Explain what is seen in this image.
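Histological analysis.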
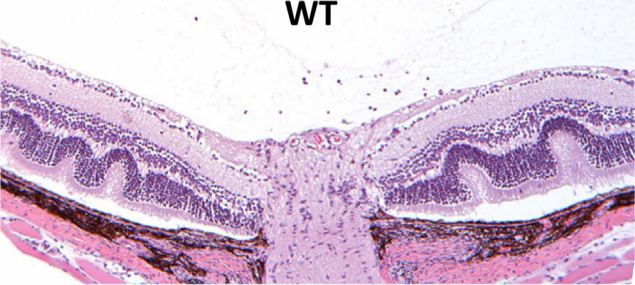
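This is a section of retina cut through the optic nerve head, with the nerve running down through the middle. On either side, the retina shows its layers: a thin innermost row of ganglion cell nuclei, a band of inner nuclear layer nuclei, and a thick dark purple band of outer nuclear layer nuclei, separated by pale pink plexiform layers. The outer nuclear layer is not flat here but is thrown into waves and folds. Beneath lies the choroid, packed with black-brown pigment, and scattered cells can be seen in the clear space in front of the retina near the nerve head.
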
